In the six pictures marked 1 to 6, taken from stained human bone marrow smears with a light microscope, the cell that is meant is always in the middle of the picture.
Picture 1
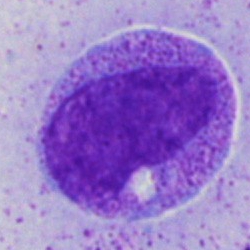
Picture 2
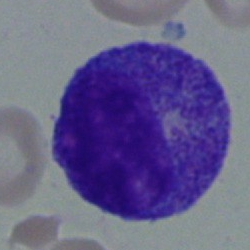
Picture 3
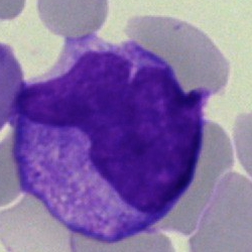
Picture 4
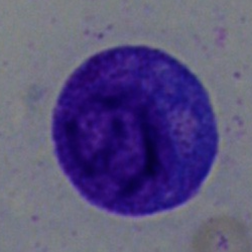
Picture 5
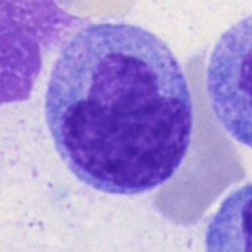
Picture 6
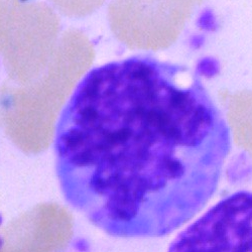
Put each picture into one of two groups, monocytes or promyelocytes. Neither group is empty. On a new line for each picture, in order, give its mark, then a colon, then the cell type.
1: promyelocyte
2: promyelocyte
3: monocyte
4: promyelocyte
5: monocyte
6: monocyte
